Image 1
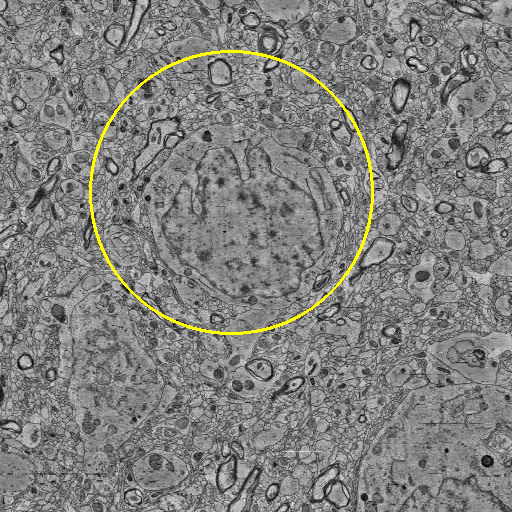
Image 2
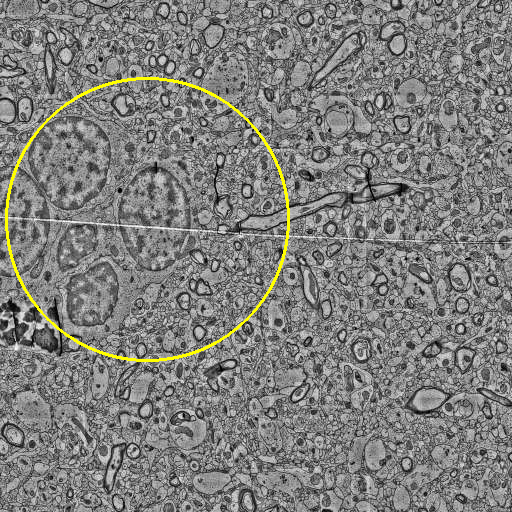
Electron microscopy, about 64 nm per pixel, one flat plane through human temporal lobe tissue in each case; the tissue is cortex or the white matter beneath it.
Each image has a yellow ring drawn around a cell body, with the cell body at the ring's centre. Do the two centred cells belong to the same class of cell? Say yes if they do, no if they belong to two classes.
no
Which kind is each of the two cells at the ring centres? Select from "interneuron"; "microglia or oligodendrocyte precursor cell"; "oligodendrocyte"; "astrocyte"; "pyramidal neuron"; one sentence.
The cell at the centre of the ring is an interneuron in the first picture and an oligodendrocyte in the second.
